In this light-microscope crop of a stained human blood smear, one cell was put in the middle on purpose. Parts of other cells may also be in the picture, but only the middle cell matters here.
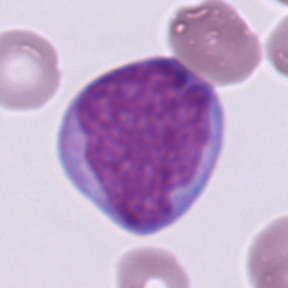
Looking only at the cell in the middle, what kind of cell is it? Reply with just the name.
atypical promyelocyte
